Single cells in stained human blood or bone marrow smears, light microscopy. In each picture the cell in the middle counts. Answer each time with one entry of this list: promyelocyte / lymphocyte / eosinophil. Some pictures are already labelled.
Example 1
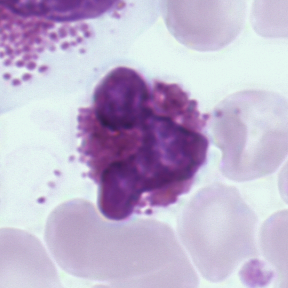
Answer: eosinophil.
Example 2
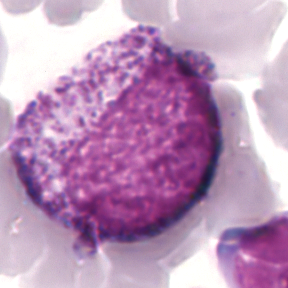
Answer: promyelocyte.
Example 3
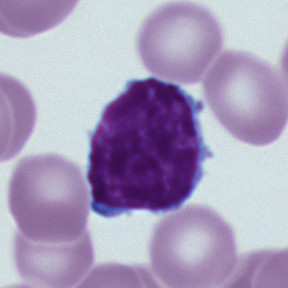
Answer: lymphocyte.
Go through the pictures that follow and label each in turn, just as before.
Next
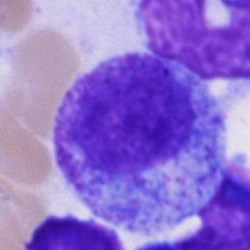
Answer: promyelocyte.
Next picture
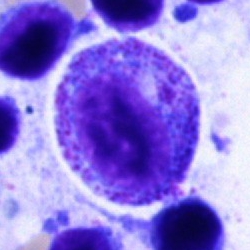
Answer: promyelocyte.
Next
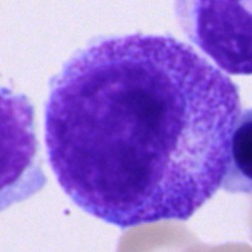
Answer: promyelocyte.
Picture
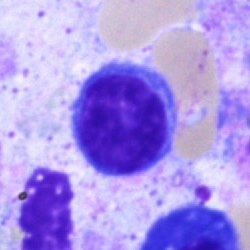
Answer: lymphocyte.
